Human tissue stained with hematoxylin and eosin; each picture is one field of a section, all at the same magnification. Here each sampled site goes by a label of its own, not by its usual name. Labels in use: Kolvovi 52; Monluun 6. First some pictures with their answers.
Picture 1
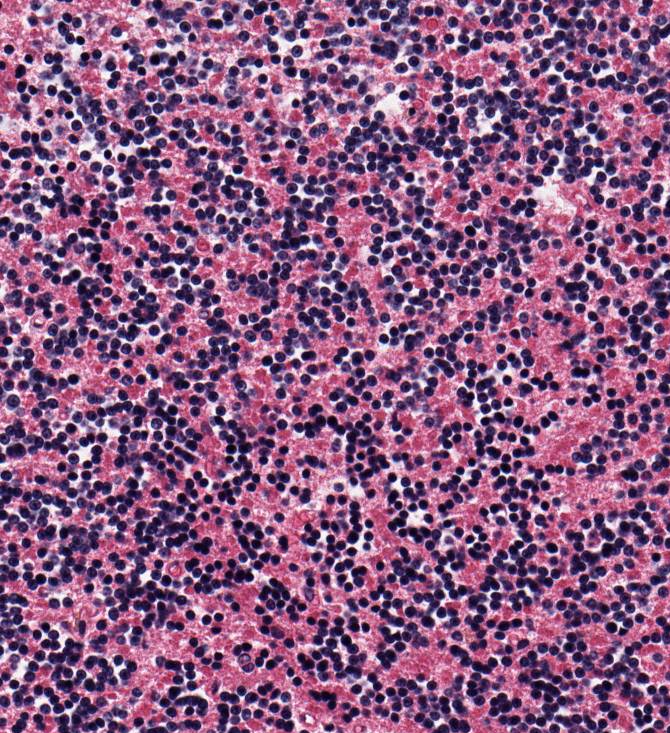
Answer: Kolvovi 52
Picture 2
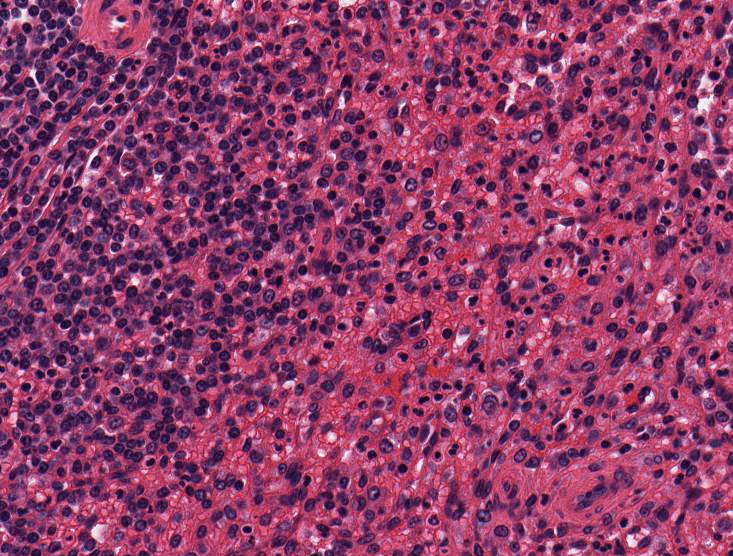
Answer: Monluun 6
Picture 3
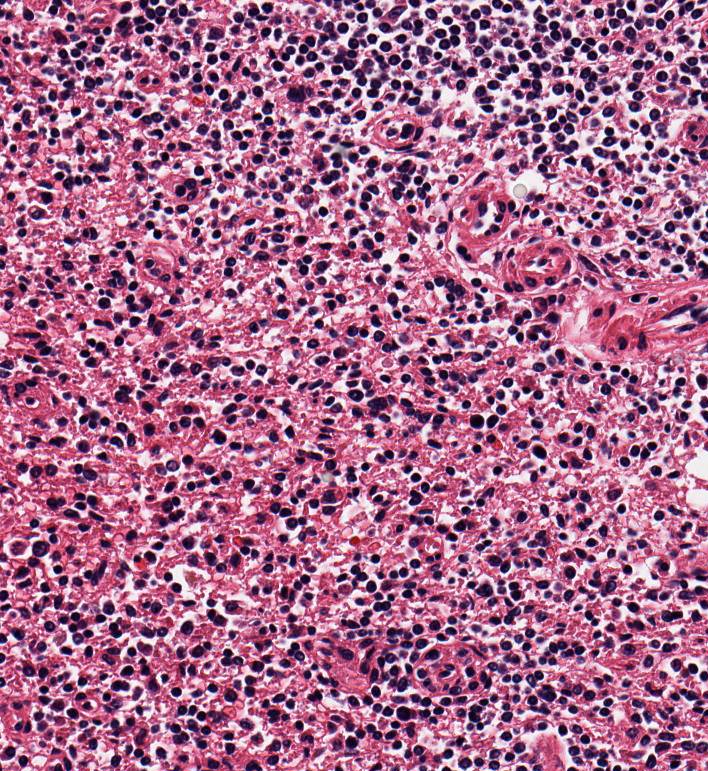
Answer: Monluun 6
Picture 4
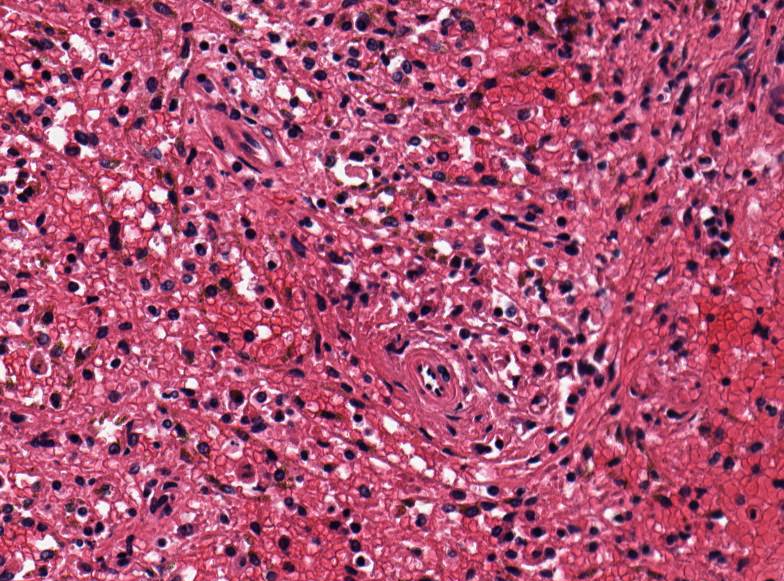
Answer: Monluun 6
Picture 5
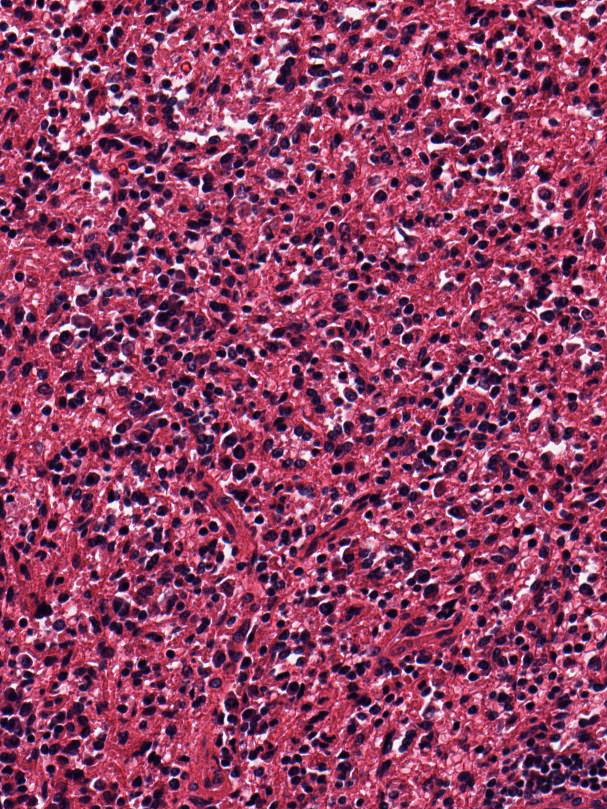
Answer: Monluun 6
